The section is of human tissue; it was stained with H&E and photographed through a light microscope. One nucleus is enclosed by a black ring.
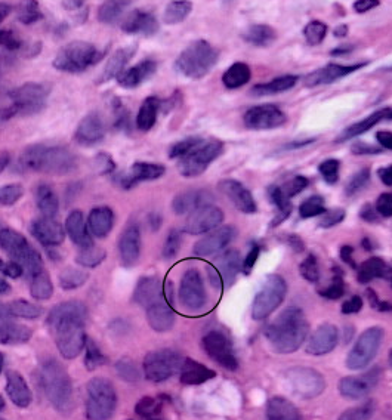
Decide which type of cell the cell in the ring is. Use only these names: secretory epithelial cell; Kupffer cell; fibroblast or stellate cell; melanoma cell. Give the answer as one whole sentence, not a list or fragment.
Within this tissue, the cell in the ring is a secretory epithelial cell.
